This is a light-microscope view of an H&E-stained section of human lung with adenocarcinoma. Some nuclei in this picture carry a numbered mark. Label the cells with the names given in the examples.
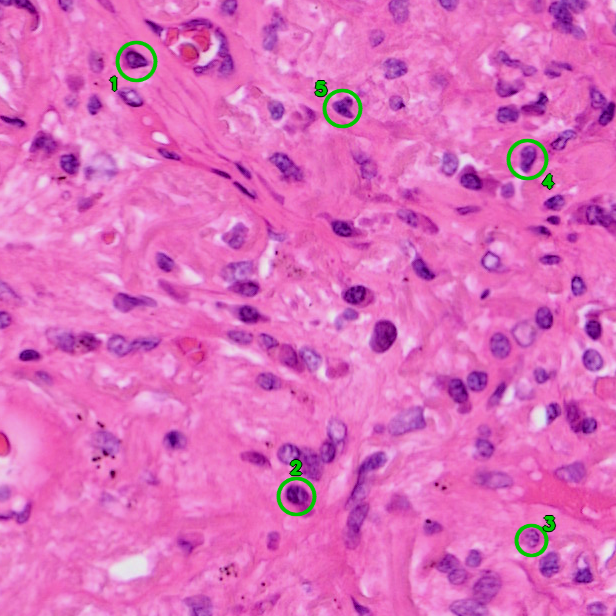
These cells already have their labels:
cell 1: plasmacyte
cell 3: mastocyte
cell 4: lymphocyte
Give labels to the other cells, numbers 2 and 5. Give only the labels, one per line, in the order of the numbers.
plasmacyte
lymphocyte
